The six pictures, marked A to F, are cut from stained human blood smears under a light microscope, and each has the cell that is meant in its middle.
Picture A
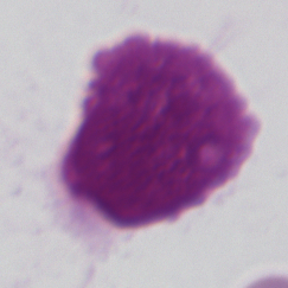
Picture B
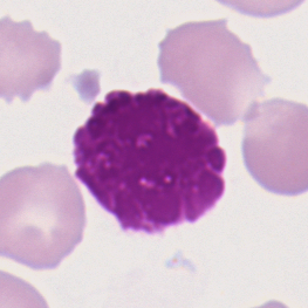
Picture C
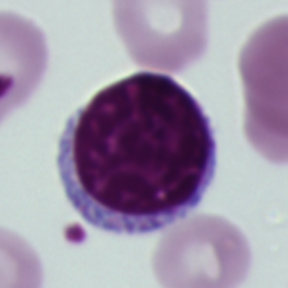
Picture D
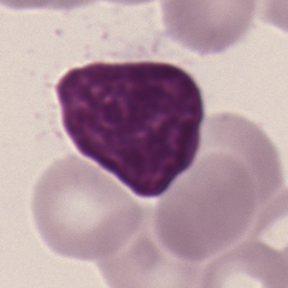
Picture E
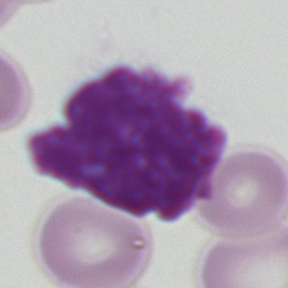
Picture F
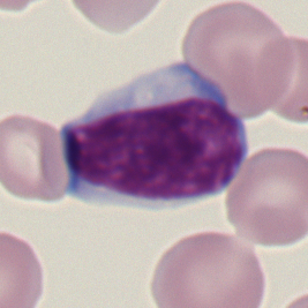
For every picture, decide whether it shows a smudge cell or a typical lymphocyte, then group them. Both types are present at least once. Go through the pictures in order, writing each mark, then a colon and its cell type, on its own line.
A: smudge cell
B: smudge cell
C: typical lymphocyte
D: smudge cell
E: smudge cell
F: typical lymphocyte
